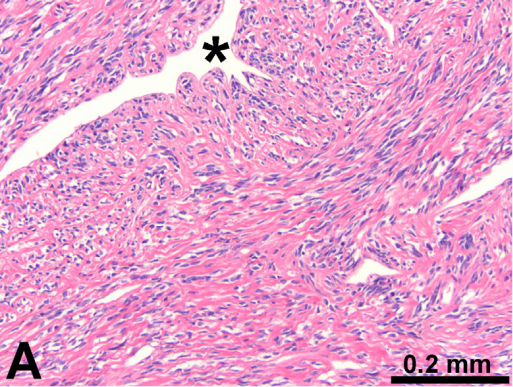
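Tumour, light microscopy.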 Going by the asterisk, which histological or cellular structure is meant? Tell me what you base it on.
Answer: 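The asterisk sits in an empty, branching, irregular clear space. The space is lined directly by the surrounding spindle-cell tissue. On this evidence: haemangiopericytoma-like vascular space.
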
